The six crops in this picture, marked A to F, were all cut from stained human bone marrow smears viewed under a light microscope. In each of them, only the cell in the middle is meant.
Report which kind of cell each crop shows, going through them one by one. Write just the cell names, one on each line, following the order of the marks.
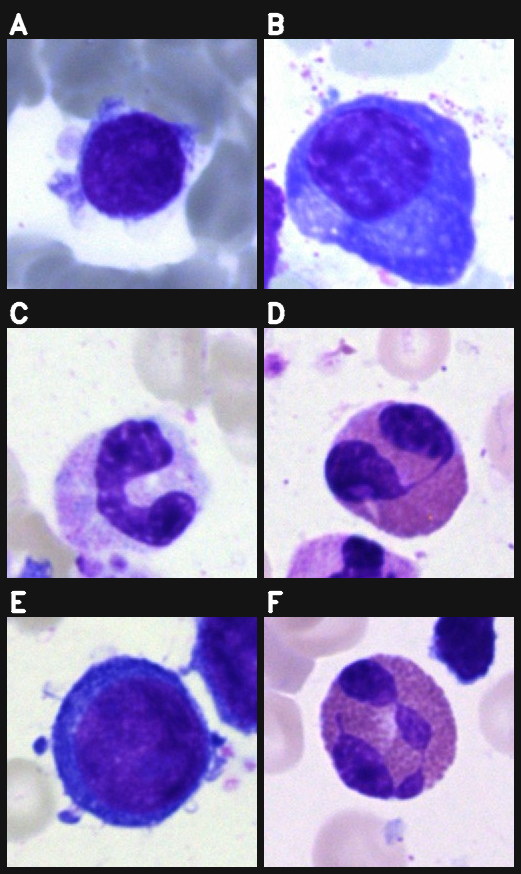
hairy cell
plasma cell
band neutrophil
eosinophil
proerythroblast
eosinophil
